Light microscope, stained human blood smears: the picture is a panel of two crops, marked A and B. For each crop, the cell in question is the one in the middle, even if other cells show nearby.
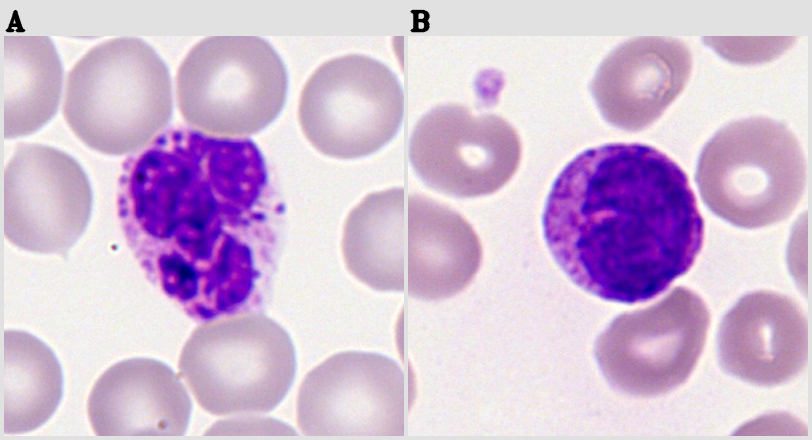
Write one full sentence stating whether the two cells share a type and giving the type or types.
Yes, both of the crops show basophils.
